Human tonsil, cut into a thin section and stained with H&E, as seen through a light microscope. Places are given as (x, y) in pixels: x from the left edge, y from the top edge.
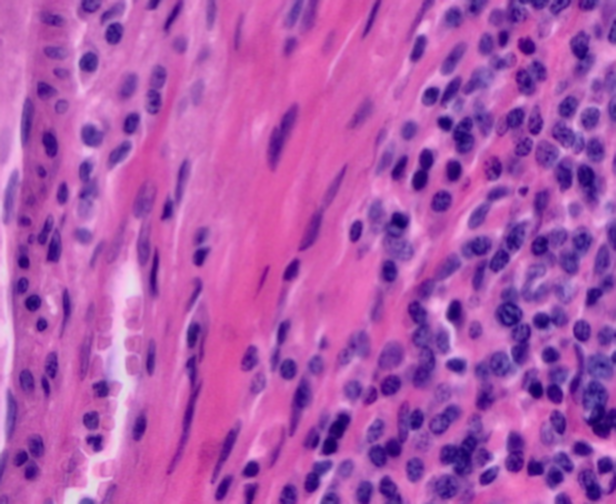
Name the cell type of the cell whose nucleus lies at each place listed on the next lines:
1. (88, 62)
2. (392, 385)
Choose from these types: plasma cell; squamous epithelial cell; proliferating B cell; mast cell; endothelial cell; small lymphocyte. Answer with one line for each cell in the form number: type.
1: mast cell
2: plasma cell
